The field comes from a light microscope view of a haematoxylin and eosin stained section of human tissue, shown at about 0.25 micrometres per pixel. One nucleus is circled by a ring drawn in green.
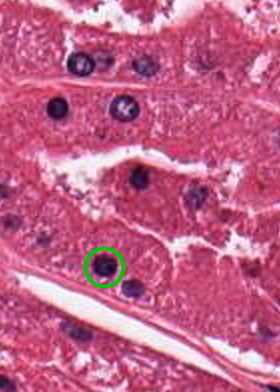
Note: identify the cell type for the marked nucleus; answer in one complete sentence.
A nucleus belonging to a proximal tubule cell is the one marked.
